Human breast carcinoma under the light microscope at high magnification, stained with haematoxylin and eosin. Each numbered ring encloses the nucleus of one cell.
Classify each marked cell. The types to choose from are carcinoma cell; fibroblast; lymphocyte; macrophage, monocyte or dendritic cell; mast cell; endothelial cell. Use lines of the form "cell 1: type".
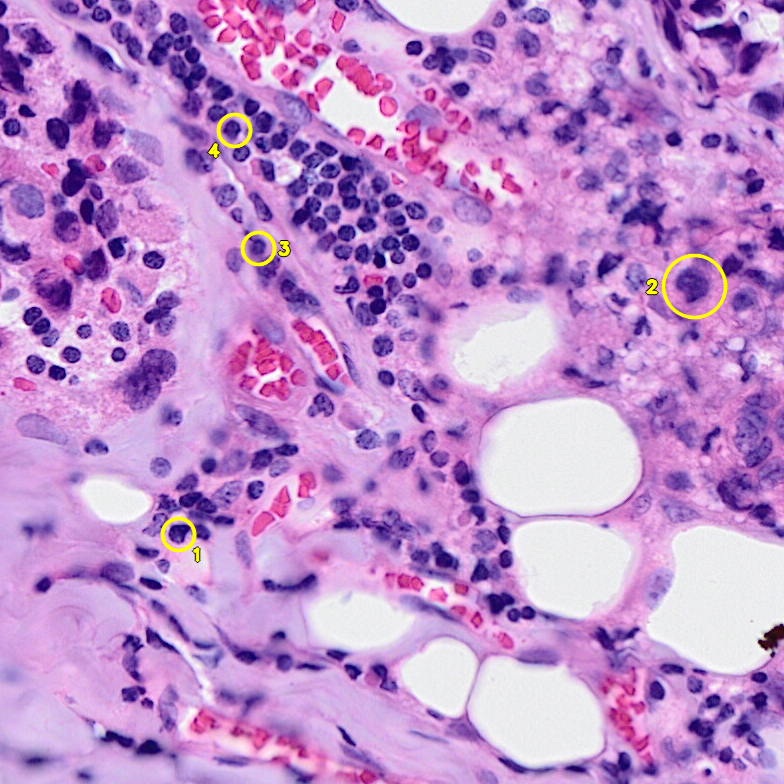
cell 1: lymphocyte
cell 2: carcinoma cell
cell 3: lymphocyte
cell 4: lymphocyte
